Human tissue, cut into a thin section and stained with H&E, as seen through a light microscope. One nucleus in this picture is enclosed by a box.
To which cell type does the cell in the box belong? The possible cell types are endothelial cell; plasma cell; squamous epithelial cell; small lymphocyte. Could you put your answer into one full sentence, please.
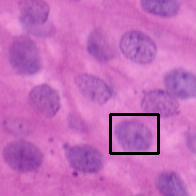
In the tissue under study, the cell in the box is a squamous epithelial cell.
